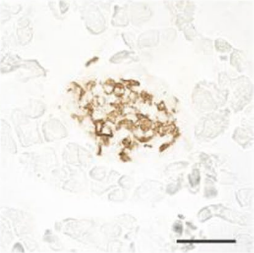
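Pancreatic islet within pale exocrine tissue showing disrupted structure. Brown-stained cells are scattered and fragmented across the islet rather than forming a solid mass. Many pale, unstained gaps lie between the stained cell profiles, and the staining is lighter overall. Surrounding acinar tissue is unstained.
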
